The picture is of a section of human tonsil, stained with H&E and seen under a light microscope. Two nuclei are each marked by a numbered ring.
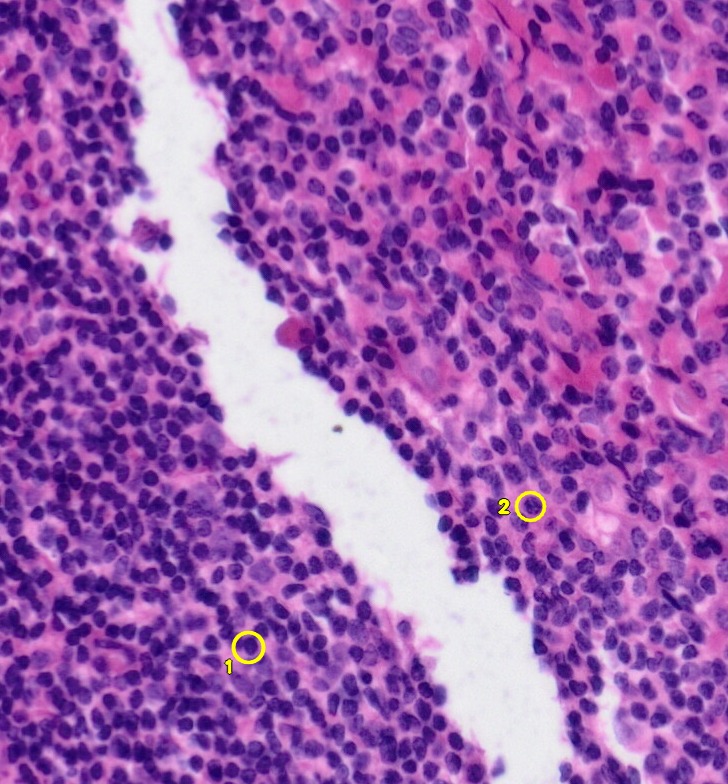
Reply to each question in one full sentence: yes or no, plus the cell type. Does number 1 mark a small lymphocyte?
Yes, the cell tagged with number 1 is a small lymphocyte.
